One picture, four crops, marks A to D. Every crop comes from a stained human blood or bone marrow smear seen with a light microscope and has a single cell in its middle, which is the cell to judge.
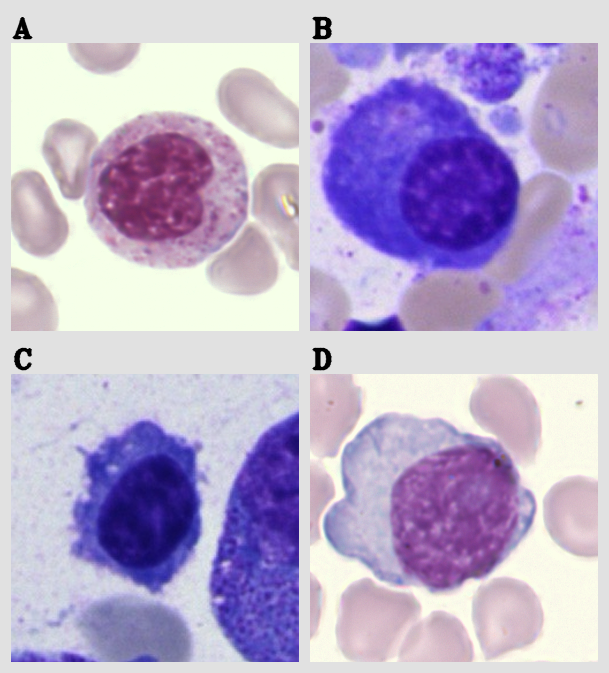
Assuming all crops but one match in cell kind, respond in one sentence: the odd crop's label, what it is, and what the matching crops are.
The single exception is crop A, which is a myelocyte; all other crops show plasma cells.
